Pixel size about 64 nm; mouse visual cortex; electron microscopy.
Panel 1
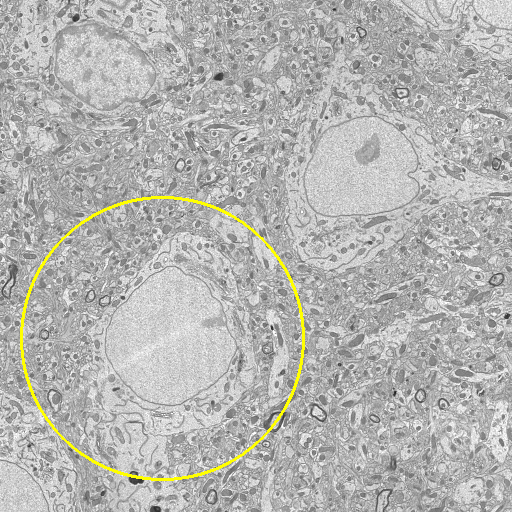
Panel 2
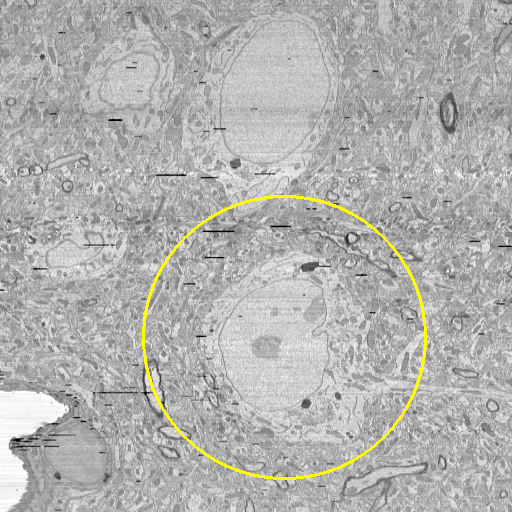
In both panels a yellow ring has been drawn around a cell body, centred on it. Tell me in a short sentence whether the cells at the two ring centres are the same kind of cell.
Yes, they are the same kind of cell.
